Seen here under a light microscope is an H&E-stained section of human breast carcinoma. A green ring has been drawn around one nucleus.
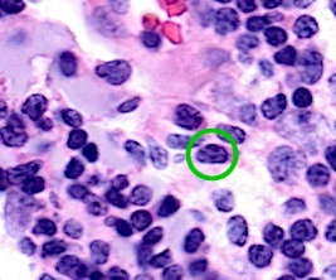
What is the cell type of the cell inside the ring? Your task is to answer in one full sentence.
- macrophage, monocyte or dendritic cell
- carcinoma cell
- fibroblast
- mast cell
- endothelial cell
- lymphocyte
It is as a lymphocyte that the cell inside the ring is recorded.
